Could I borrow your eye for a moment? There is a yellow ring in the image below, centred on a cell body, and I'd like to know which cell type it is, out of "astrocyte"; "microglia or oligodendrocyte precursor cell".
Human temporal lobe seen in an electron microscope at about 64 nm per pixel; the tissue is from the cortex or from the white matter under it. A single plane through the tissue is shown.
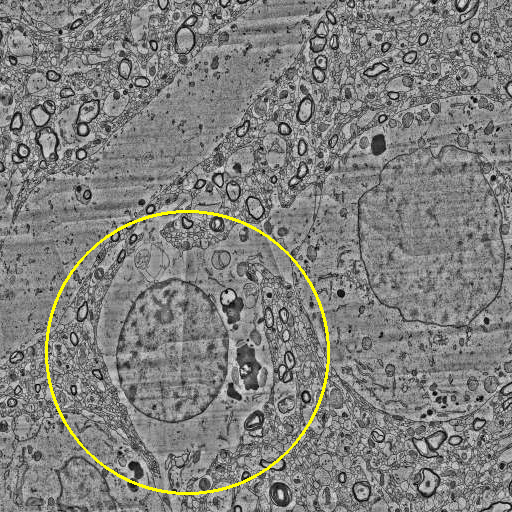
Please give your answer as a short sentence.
The cell body at the centre is that of an astrocyte.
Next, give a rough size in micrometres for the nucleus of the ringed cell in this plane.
Approximately 9 x 7 micrometres in this plane.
